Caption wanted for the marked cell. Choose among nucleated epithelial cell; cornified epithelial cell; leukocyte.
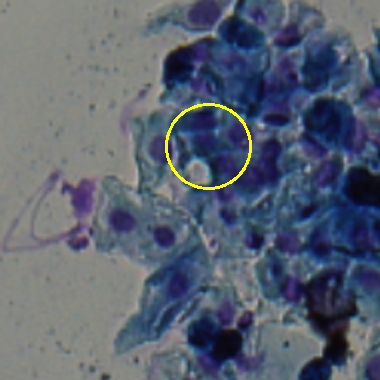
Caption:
Ringed in yellow is a nucleated epithelial cell.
